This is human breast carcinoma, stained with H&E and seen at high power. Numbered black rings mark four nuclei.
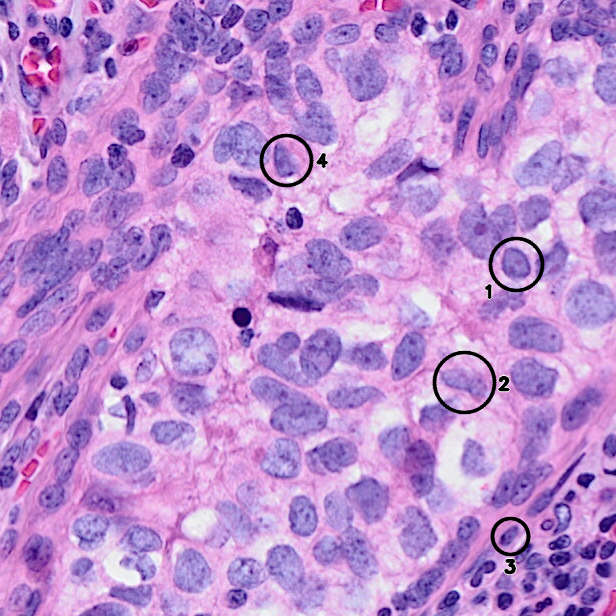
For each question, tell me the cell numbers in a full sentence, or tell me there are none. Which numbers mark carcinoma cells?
The cells that bear the numbers 1, 2 and 4 are carcinoma cells.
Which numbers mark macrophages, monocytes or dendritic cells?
Without exception, the numbered cells are not macrophages, monocytes or dendritic cells.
